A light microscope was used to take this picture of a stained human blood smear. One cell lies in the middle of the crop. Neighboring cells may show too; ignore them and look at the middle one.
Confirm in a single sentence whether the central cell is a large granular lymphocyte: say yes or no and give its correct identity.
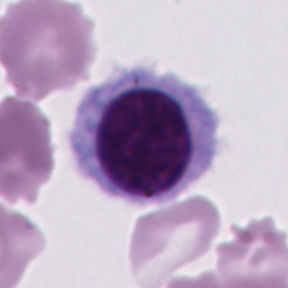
No, the centre cell counts as a hairy cell, not as a large granular lymphocyte.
